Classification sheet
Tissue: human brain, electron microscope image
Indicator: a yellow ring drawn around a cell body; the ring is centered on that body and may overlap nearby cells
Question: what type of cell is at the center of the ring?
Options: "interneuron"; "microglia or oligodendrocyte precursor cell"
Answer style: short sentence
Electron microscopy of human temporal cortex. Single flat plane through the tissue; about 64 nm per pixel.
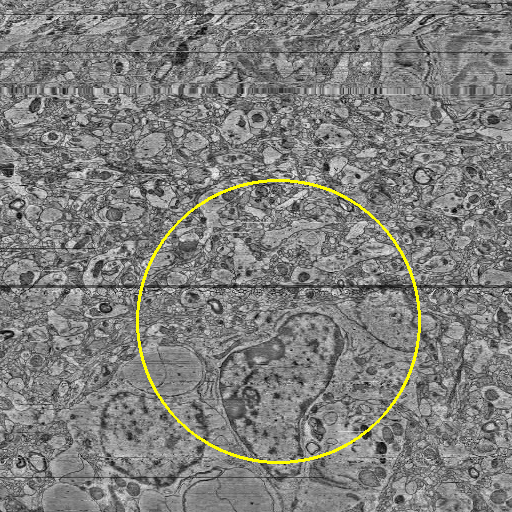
At the ring's center is a microglial cell or oligodendrocyte precursor cell.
